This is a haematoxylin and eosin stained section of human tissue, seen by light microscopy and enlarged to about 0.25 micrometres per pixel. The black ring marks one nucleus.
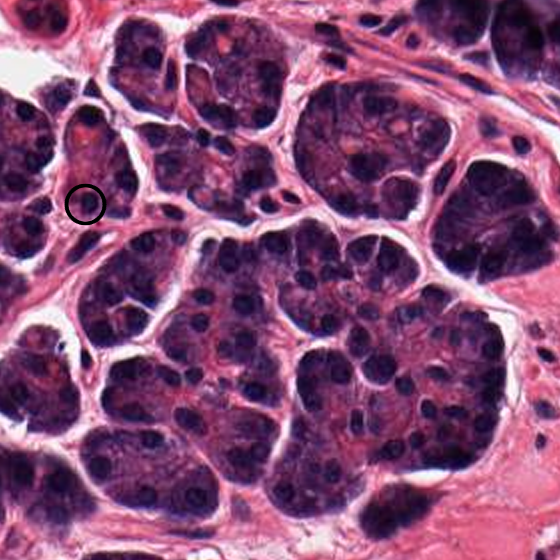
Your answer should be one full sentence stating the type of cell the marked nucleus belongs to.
Marked in this picture is the nucleus of a pancreatic acinar cell.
